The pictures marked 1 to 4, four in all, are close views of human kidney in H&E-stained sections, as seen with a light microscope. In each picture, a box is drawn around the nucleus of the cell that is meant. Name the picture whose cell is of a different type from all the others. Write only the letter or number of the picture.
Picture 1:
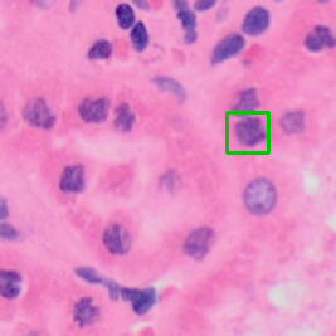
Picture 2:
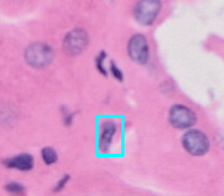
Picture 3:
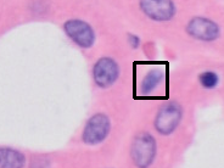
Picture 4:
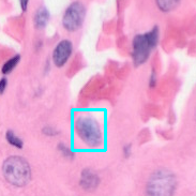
1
